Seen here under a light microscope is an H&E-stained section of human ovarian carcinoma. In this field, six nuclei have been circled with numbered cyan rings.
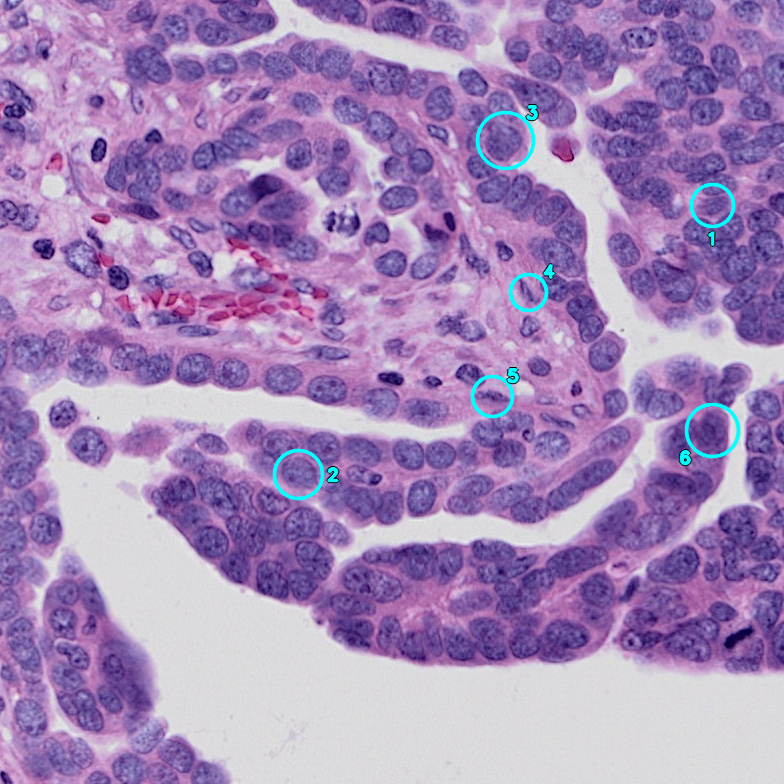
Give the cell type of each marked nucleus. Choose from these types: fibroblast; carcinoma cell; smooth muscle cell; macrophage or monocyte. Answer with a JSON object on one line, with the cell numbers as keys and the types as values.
{"1": "carcinoma cell", "2": "carcinoma cell", "3": "carcinoma cell", "4": "fibroblast", "5": "fibroblast", "6": "carcinoma cell"}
